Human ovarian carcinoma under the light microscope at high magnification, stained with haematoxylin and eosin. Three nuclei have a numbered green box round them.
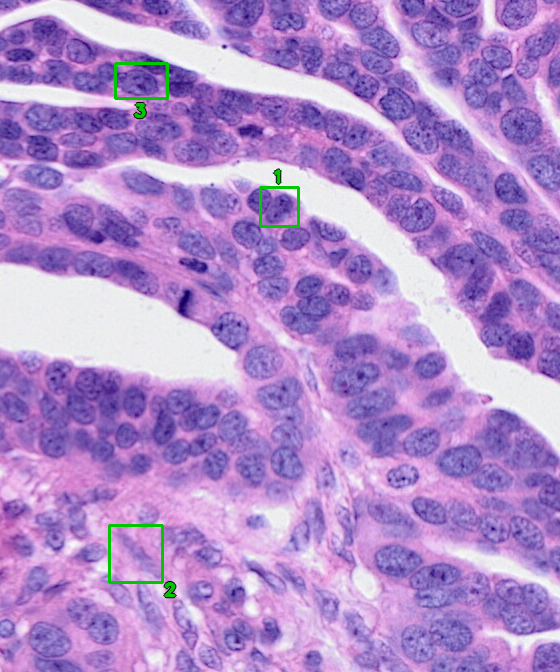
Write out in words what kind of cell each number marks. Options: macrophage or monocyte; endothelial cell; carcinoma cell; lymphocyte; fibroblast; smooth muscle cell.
Cells 1 and 3 are carcinoma cells. Cell 2 is a fibroblast.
